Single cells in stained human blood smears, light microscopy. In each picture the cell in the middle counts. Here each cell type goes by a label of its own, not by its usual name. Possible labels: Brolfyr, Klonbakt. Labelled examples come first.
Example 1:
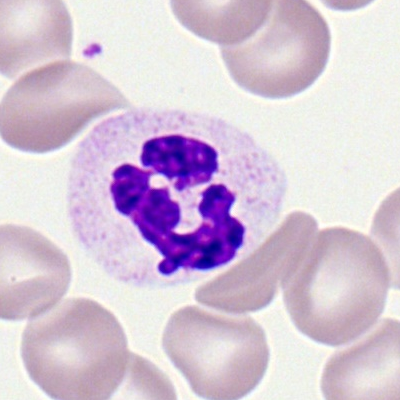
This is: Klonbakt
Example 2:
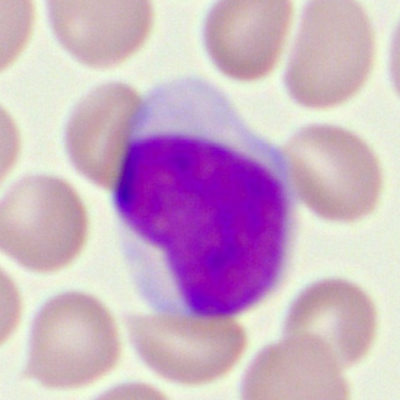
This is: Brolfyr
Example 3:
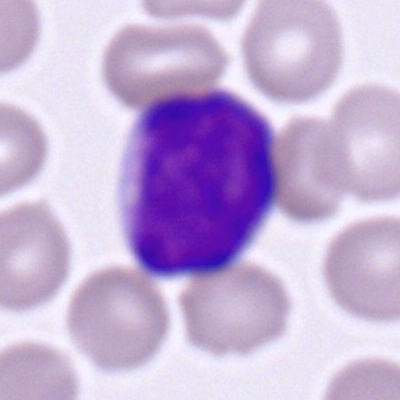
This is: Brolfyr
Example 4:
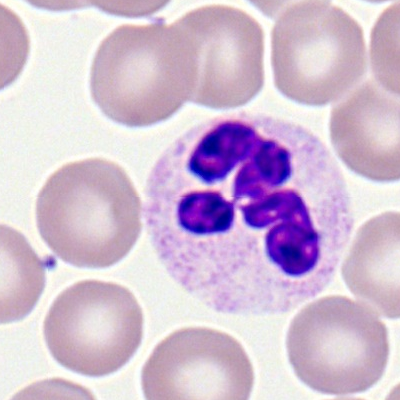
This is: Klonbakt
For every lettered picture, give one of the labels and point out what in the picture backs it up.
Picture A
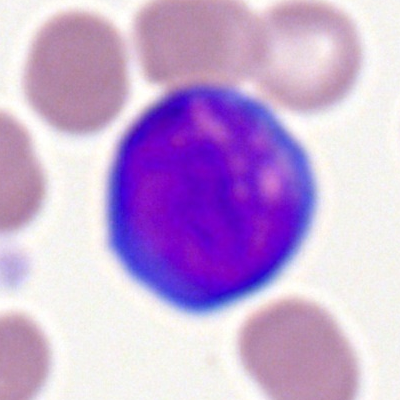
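Label: Brolfyr. The cytoplasm is a deep blue.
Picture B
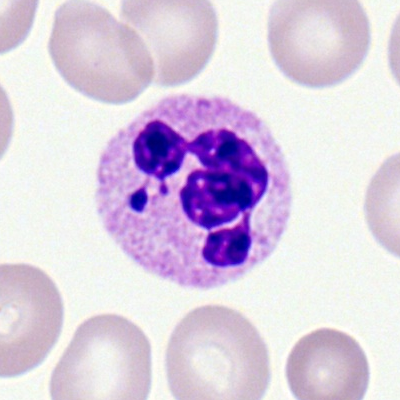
Label: Klonbakt. The cytoplasm is plentiful and pale pinkish-lilac.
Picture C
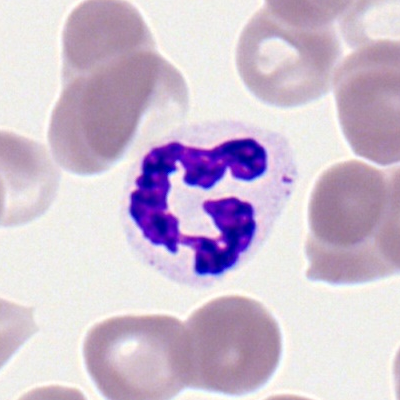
Label: Klonbakt. The nucleus is a single curved band bent into a C or G shape that opens toward the right.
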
